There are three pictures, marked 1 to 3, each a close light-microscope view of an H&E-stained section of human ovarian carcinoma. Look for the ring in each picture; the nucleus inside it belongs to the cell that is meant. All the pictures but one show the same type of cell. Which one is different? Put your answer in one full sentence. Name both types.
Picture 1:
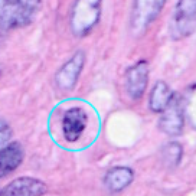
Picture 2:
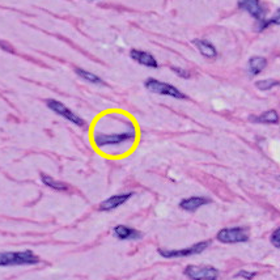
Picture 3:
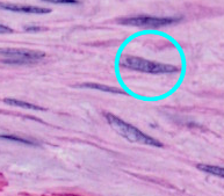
Picture 1 differs, because its cell is a lymphocyte and the rest are fibroblasts.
